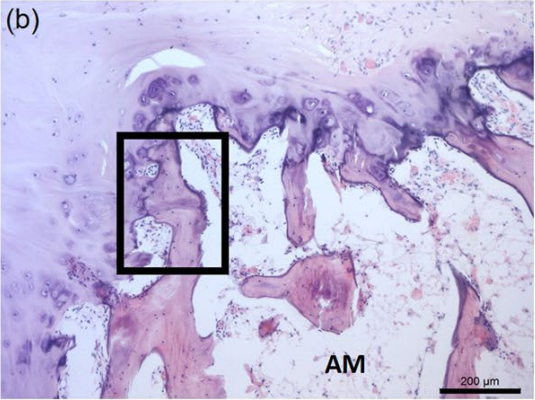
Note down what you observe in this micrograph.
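This field shows hyaline cartilage meeting bone, a picture of endochondral ossification. In the upper part, cartilage cells lie in lacunae within a pale purple matrix. Along its lower border runs a dark purple, irregular front. Pink bony trabeculae reach down from this front into the space below. Between the trabeculae lie pale marrow spaces with fat cells, scattered small cells and some red blood cells.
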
